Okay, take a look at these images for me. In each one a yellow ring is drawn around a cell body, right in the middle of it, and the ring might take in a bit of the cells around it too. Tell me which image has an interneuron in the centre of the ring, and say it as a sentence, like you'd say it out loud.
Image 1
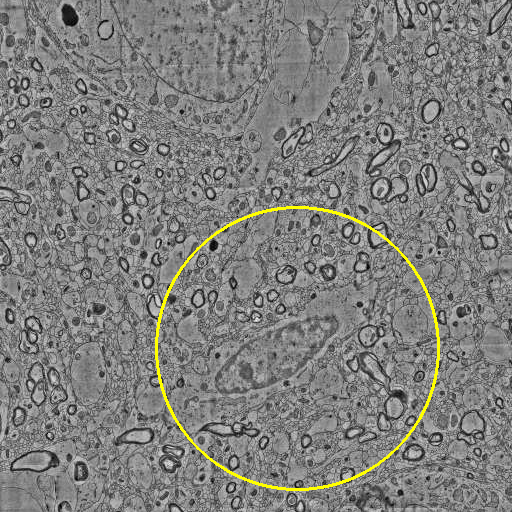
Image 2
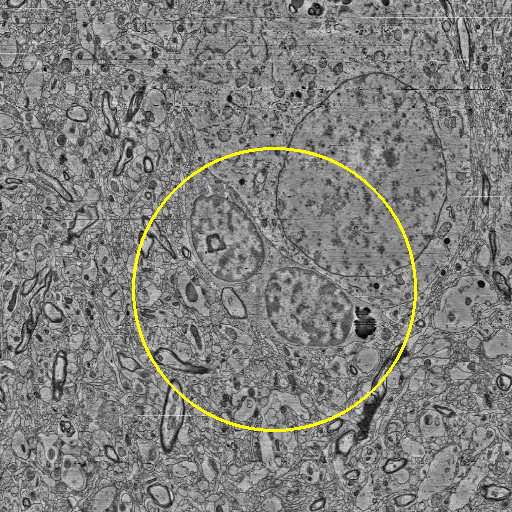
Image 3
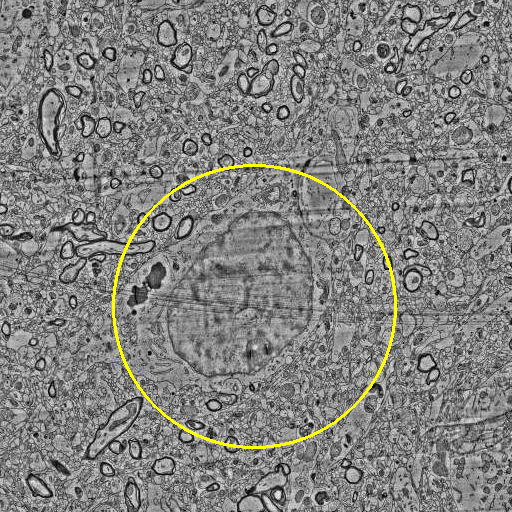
Image 3 is the one with it in the centre of the ring.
